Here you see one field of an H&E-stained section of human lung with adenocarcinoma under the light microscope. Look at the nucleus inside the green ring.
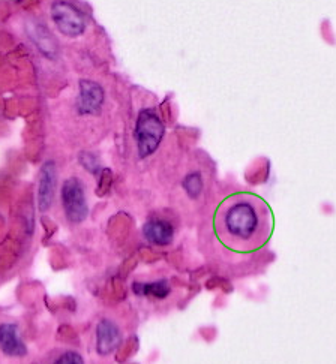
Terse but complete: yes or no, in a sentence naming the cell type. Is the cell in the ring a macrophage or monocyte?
Yes, regarding cell type, the cell in the ring is a macrophage or monocyte.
